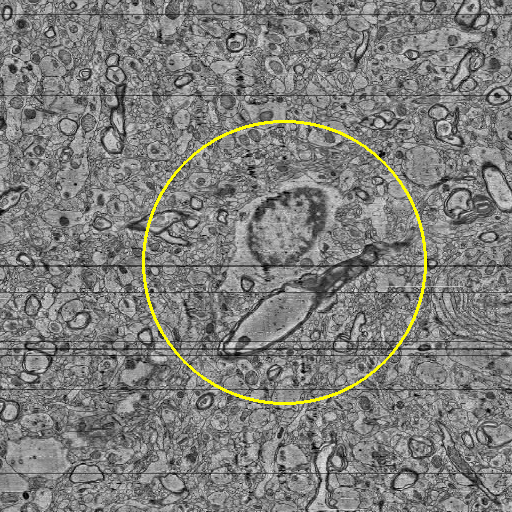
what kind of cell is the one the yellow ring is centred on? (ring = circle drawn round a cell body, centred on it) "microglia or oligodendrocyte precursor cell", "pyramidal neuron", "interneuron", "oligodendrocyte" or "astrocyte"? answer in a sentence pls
The ring is drawn around a microglial cell or oligodendrocyte precursor cell.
